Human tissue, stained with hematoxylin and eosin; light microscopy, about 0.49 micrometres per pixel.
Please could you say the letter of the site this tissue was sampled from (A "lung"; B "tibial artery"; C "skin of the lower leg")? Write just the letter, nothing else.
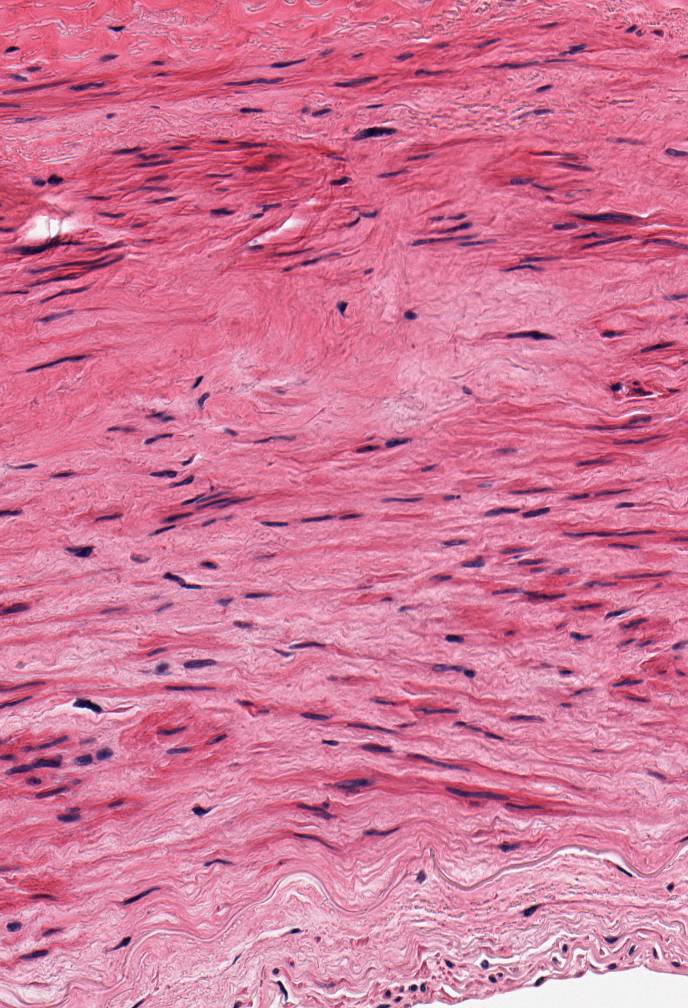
B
